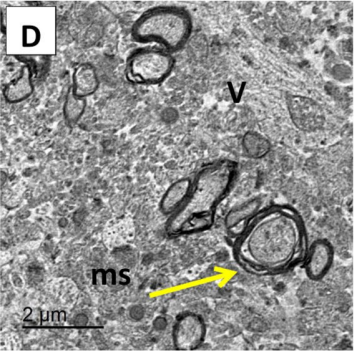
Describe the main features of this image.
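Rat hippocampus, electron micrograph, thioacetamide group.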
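Some sheaths are irregular in outline, and one stands out with concentric dark lamellae that have come apart from one another, loose and unravelled rather than forming a single tight ring around its pale axon. The surrounding neuropil is patchy, with pale, empty-looking spaces scattered between the processes and small round organelle profiles. Taken together this is neuropil with disrupted myelin and vacuolation, unlike the compact, even sheaths of normal tissue.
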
